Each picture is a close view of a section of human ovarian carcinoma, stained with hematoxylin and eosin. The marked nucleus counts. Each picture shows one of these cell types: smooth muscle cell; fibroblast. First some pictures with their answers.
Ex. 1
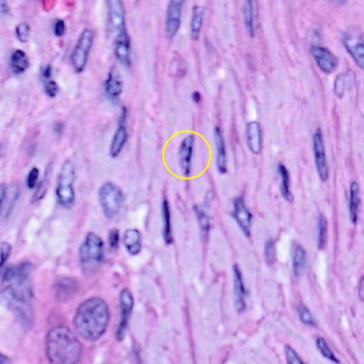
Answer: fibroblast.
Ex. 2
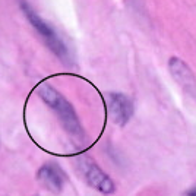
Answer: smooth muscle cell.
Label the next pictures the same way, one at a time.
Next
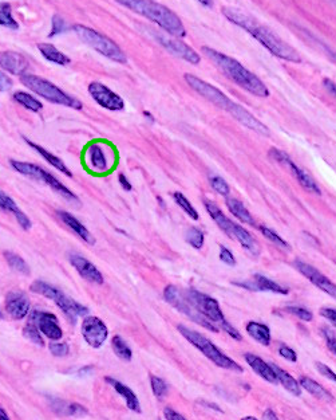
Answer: smooth muscle cell.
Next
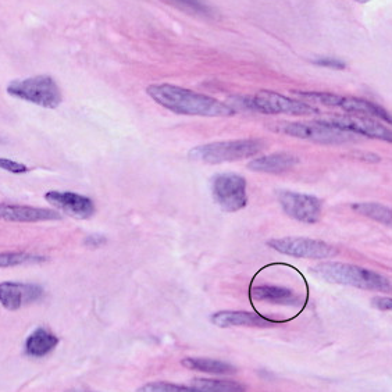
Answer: smooth muscle cell.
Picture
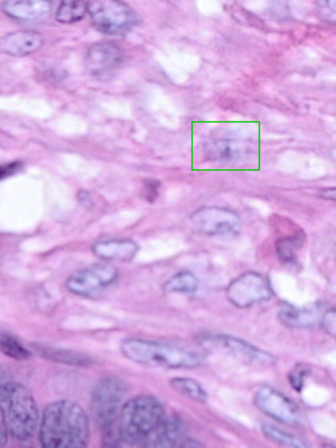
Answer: fibroblast.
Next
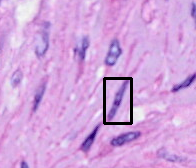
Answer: fibroblast.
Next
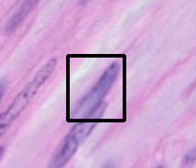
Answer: smooth muscle cell.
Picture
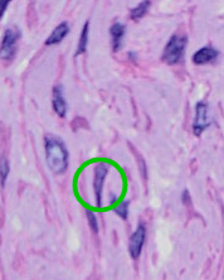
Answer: fibroblast.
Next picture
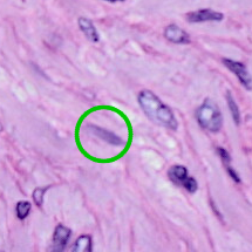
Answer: fibroblast.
